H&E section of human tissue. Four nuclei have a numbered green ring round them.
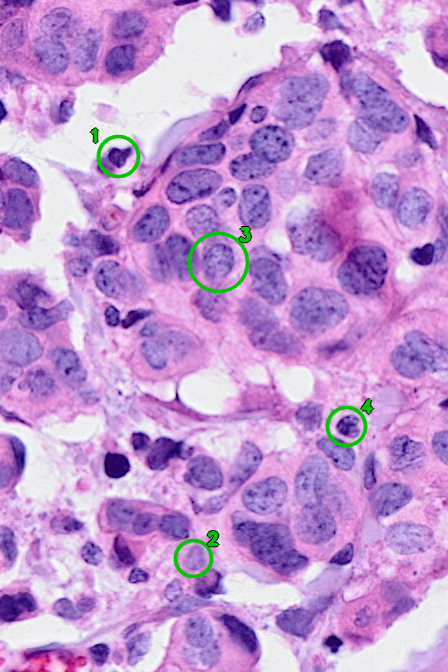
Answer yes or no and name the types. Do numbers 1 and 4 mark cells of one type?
Yes, cells 1 and 4 both fall under lymphocytes.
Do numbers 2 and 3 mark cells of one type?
Yes, just like cell 2, cell 3 is one of the carcinoma cells.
